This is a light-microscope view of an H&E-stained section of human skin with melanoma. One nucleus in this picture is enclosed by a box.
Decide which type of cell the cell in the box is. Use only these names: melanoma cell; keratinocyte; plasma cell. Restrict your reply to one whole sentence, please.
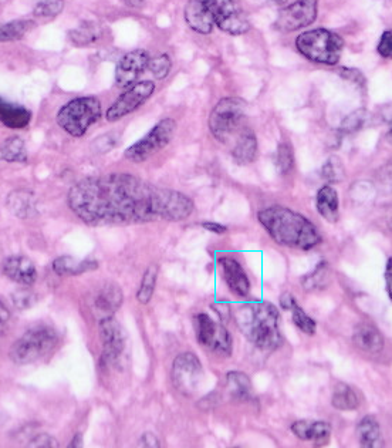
In short, the cell in the box on this section is a melanoma cell.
